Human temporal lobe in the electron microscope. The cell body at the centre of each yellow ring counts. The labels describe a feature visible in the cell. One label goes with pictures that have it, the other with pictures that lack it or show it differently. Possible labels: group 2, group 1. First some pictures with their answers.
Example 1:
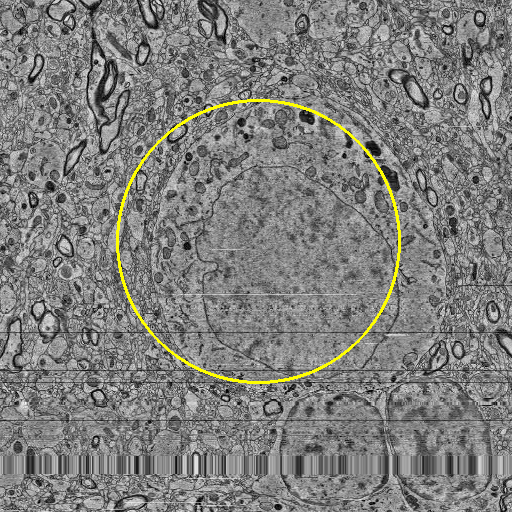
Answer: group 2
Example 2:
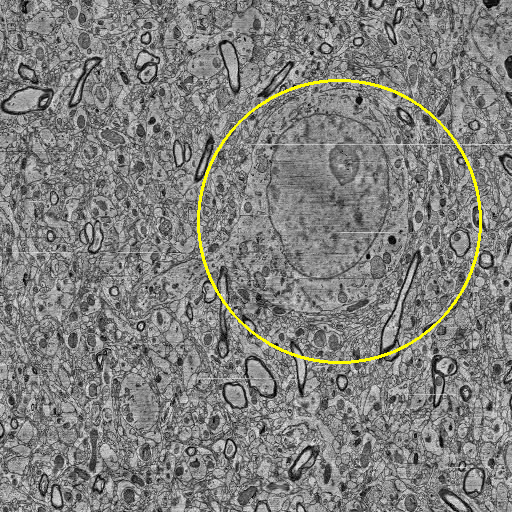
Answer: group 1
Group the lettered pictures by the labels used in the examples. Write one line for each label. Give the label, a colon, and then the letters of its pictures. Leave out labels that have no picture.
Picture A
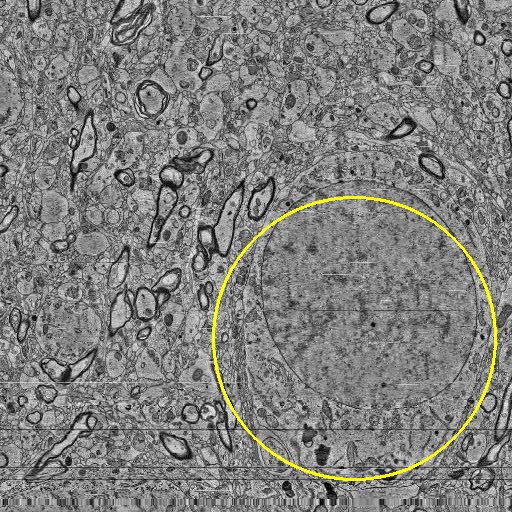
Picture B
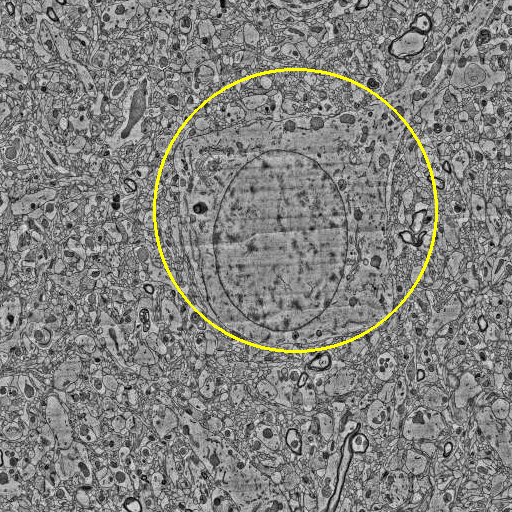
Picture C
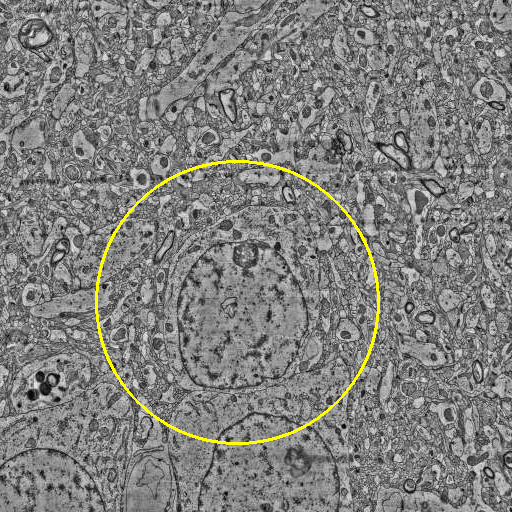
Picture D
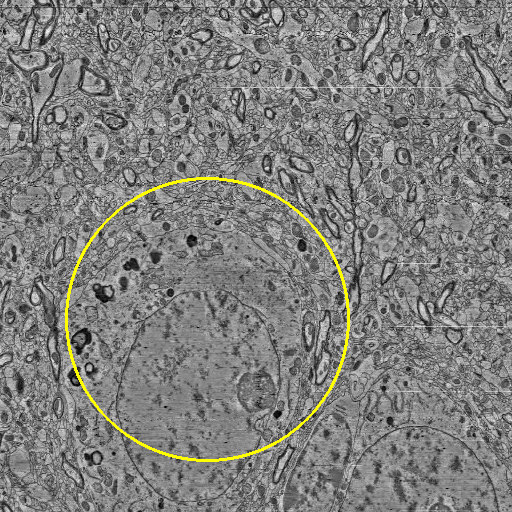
group 2: A, B
group 1: C, D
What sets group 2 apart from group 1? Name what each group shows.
group 2: no nucleolus seen; group 1: nucleolus seen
